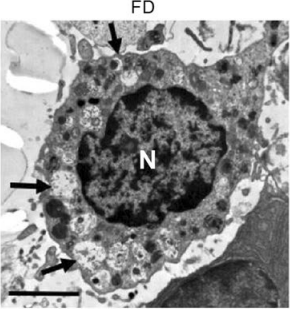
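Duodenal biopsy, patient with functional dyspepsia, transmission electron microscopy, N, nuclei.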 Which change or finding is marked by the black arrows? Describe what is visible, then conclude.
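The arrows point to granules that look electron-lucent and partly emptied. The marked granules hold scattered small particles rather than a solid dense core. The answer: Degranulation.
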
